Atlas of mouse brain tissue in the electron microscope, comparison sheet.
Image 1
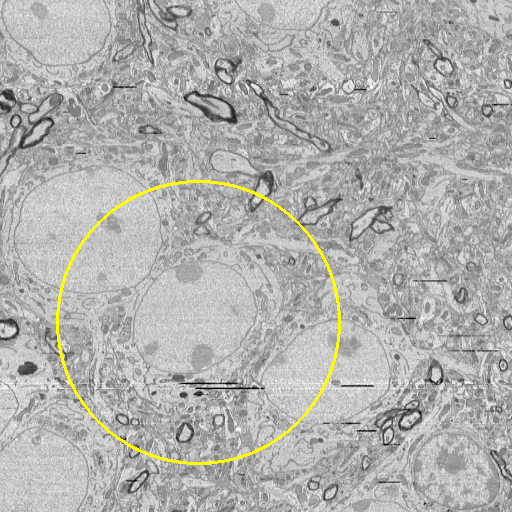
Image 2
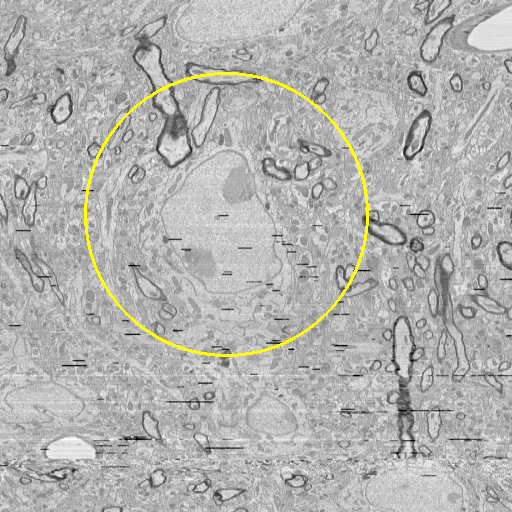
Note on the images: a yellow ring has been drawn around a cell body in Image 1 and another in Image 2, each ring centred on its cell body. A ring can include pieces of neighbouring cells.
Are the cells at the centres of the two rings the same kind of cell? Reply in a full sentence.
Yes, both cells are of the same kind.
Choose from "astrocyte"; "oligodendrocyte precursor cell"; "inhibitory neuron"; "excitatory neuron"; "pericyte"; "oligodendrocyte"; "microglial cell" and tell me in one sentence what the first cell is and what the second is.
Each cell at the centre of a ring is an excitatory neuron.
